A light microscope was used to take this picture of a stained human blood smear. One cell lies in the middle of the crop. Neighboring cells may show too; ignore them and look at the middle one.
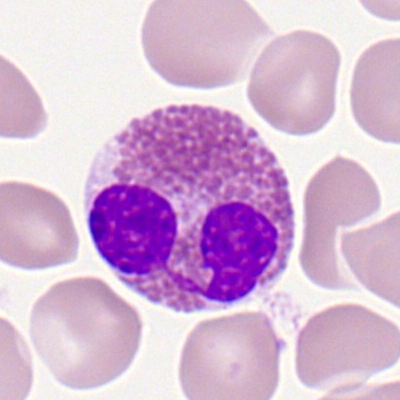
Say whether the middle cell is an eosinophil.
yes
